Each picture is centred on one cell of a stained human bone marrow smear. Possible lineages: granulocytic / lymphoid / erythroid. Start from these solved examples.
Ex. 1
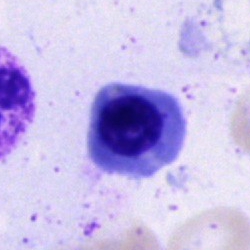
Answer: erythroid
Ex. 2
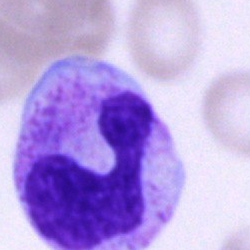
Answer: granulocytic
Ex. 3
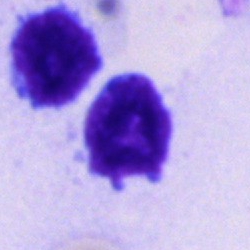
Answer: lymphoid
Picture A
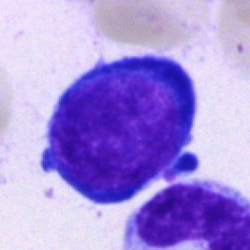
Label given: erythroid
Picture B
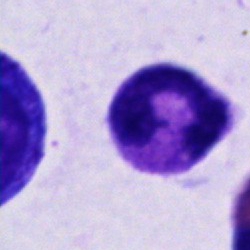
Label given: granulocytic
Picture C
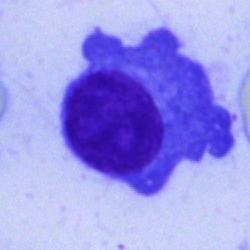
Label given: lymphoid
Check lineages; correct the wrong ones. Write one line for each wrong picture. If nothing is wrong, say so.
Nothing to fix; every label fits.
